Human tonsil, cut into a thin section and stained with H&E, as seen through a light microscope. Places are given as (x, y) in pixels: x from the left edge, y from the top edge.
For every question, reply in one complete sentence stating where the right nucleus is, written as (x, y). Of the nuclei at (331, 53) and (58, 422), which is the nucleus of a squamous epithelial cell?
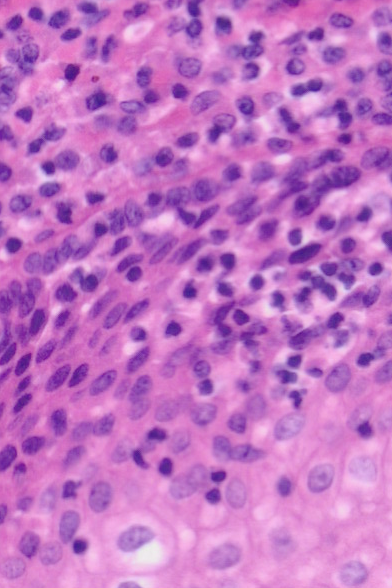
Among the two, the nucleus at (58, 422) is the nucleus of a squamous epithelial cell.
